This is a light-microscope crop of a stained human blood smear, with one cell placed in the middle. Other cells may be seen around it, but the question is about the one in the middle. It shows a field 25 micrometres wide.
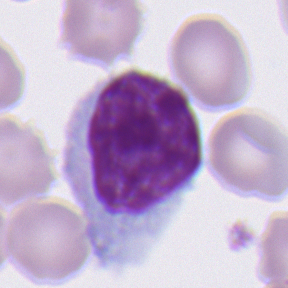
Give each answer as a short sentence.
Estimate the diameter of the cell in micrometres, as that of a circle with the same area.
It measures about 14 micrometres across.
